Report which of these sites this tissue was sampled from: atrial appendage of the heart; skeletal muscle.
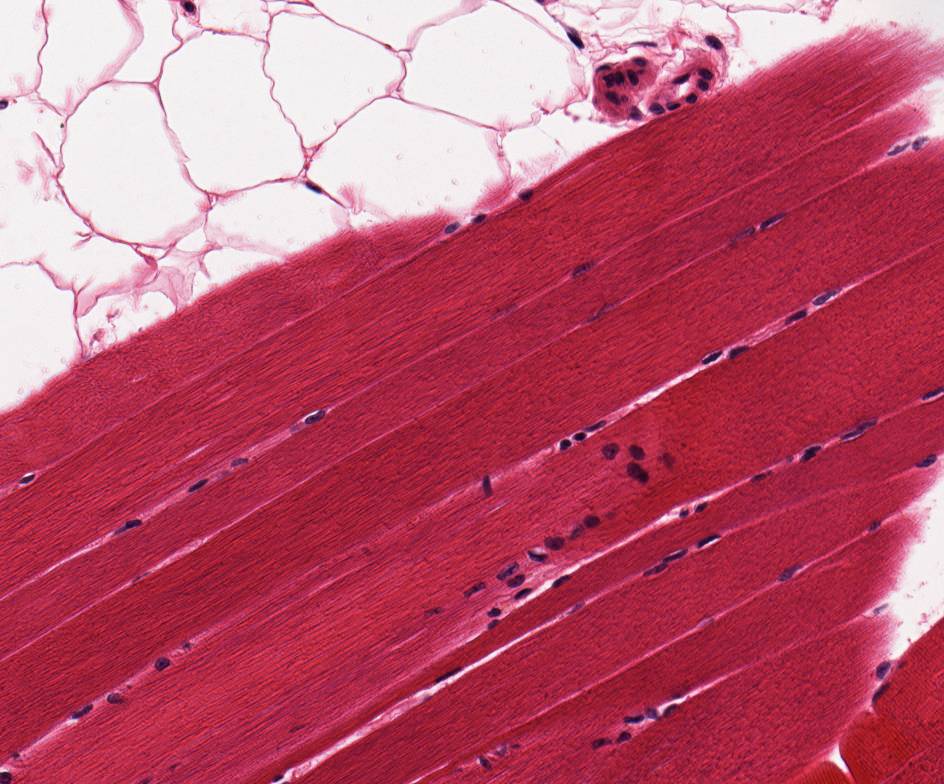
skeletal muscle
